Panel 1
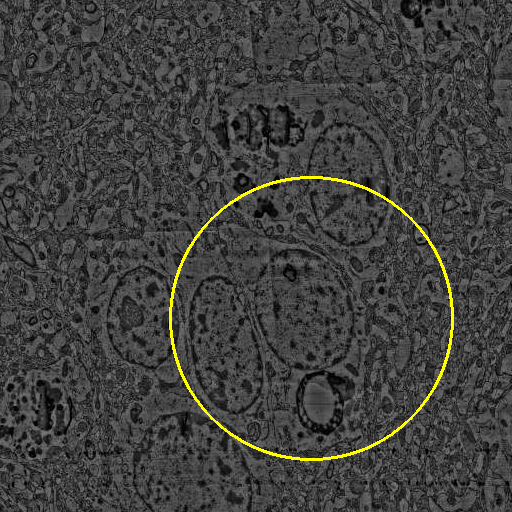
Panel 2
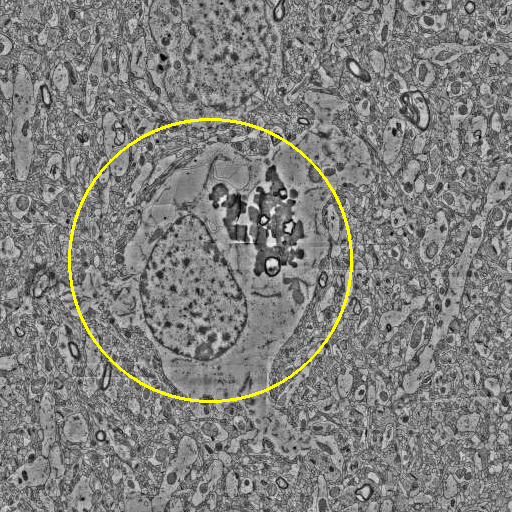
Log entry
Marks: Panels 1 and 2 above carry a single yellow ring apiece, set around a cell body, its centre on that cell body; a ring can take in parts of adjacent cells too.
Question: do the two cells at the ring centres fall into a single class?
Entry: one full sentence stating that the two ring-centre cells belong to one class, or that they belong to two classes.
The two ring-centre cells in Panels 1 and 2 belong to one class.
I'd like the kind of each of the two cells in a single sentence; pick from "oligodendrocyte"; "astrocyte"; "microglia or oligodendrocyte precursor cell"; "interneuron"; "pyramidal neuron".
Each one of the two ringed cells is an astrocyte.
